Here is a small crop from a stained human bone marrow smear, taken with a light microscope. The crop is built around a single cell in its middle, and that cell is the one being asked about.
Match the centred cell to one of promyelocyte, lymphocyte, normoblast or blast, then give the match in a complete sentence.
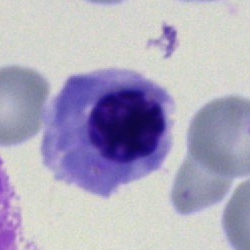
The cell positioned in the middle of the field is a normoblast.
